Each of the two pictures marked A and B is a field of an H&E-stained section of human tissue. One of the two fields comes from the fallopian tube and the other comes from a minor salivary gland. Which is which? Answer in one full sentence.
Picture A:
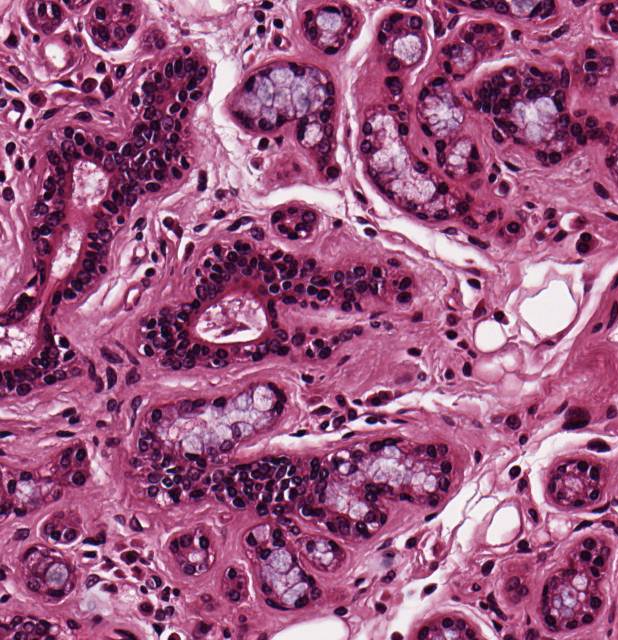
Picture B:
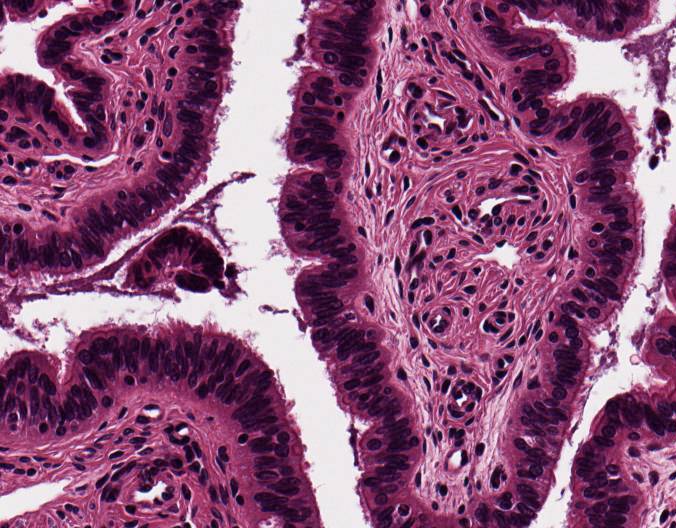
It is picture A that comes from a minor salivary gland, and picture B that comes from the fallopian tube.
